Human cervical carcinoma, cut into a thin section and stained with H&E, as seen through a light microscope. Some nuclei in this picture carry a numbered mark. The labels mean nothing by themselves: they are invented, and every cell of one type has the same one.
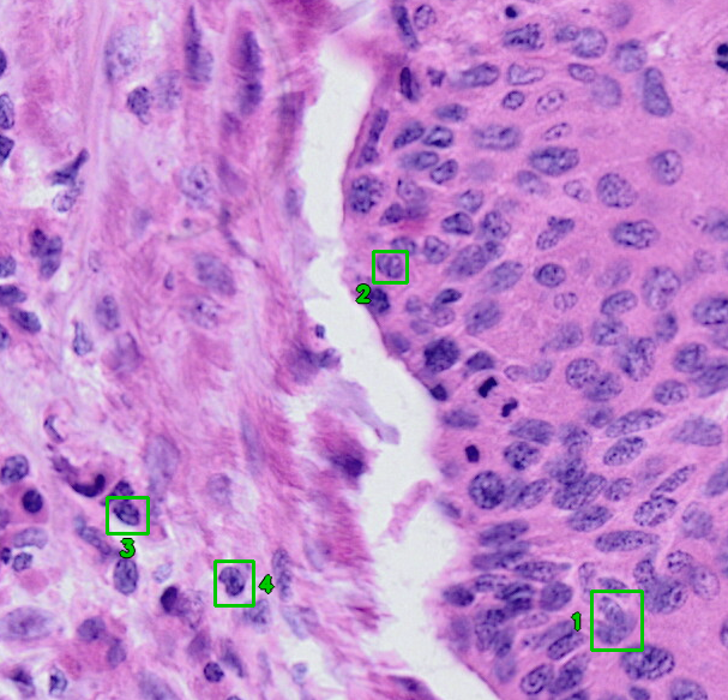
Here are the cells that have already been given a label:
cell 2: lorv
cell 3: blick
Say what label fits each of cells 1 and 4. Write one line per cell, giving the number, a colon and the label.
1: lorv
4: blick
